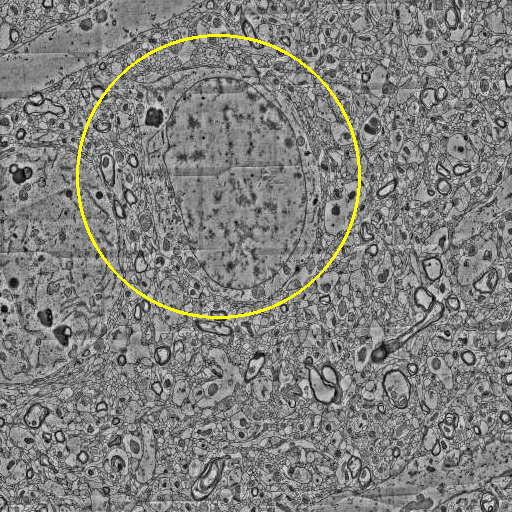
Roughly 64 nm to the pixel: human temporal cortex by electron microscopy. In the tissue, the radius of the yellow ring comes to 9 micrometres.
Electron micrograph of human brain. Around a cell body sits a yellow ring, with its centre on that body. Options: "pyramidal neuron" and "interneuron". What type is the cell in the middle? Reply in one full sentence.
The cell sitting at the centre of the yellow ring is a pyramidal neuron.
